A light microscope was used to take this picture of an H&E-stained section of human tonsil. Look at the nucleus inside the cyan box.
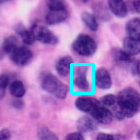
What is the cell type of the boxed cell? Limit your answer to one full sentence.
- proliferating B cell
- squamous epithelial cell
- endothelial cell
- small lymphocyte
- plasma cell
Within the stained tissue, the boxed cell is a proliferating B cell.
